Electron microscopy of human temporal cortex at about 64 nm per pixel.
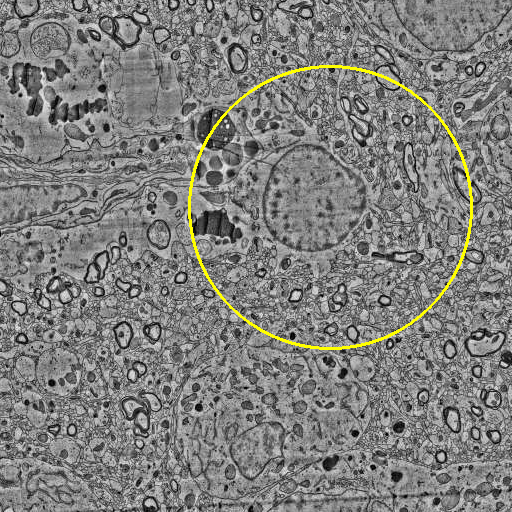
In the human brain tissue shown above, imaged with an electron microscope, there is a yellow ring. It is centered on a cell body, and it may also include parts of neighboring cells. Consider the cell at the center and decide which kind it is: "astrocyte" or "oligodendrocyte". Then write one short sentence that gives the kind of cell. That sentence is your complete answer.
This centered cell body is that of an astrocyte.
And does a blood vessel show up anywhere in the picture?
Yes, a blood vessel is present in this picture.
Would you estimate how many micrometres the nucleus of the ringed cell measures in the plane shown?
About 7 micrometres across in this plane, for the nucleus.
